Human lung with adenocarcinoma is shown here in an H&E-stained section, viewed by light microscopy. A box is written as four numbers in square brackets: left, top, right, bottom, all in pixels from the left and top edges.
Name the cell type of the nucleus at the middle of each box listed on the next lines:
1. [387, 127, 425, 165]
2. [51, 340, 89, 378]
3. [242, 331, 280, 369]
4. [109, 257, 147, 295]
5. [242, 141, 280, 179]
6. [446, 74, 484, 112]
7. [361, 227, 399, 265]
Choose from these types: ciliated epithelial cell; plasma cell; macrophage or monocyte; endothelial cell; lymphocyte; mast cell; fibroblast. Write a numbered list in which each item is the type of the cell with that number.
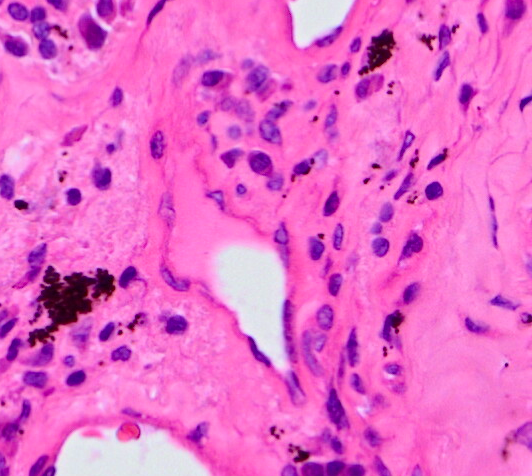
1. fibroblast
2. lymphocyte
3. endothelial cell
4. lymphocyte
5. plasma cell
6. plasma cell
7. lymphocyte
